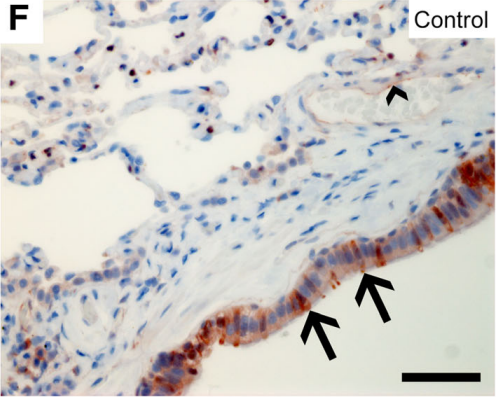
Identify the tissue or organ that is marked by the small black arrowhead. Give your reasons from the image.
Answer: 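Endothelium. The arrowhead points at a thin flat cell lining a vessel-like lumen. A faint brown rim lines that lumen.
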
